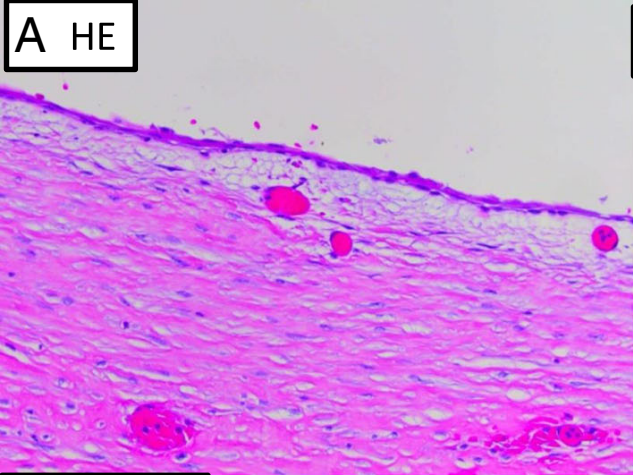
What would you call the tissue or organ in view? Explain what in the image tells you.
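Dense pink-staining fibrous stroma fills most of the panel. Scattered elongated spindle-shaped nuclei lie between the pink fibres.
Fibrous tissue.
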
